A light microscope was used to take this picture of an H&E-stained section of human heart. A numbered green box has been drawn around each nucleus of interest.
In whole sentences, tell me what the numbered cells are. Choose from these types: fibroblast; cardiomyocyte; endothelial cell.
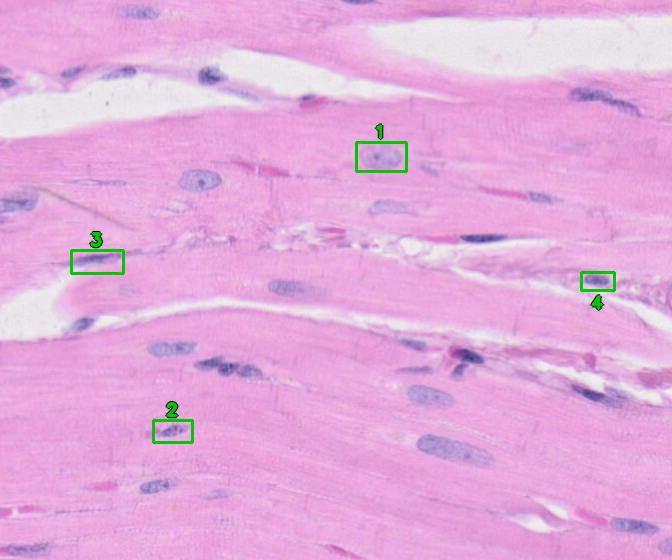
Cell 1 is a cardiomyocyte. Cells 2 and 3 are endothelial cells. Cell 4 is a fibroblast.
